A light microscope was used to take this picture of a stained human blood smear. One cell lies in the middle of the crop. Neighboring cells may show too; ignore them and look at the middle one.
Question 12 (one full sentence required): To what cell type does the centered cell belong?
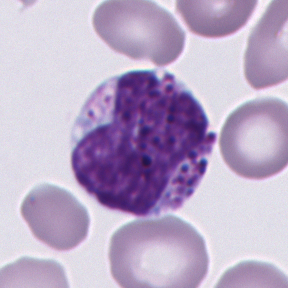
Here the cell in the middle is a basophil.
